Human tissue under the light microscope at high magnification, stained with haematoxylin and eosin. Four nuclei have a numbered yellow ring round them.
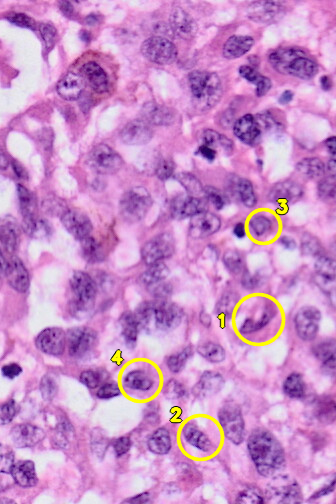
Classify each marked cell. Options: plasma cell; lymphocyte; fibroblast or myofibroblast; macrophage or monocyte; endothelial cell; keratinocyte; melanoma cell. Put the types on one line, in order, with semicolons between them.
melanoma cell; melanoma cell; macrophage or monocyte; melanoma cell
